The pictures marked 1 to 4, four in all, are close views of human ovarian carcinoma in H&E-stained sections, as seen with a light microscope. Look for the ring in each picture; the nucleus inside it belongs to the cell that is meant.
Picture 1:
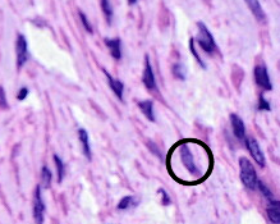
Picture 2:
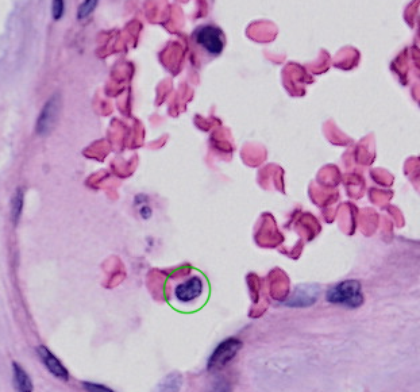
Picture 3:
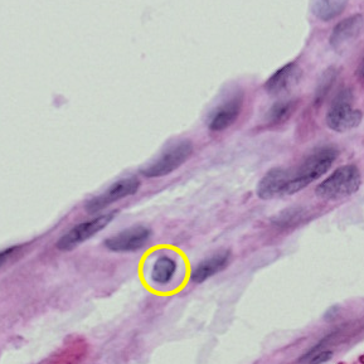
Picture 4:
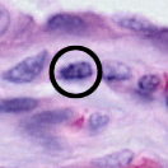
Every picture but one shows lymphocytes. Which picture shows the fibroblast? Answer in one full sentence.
It is picture 1 that shows the fibroblast.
